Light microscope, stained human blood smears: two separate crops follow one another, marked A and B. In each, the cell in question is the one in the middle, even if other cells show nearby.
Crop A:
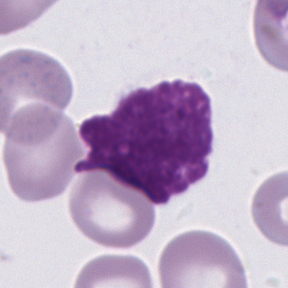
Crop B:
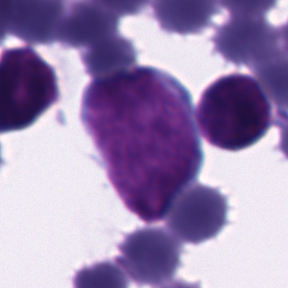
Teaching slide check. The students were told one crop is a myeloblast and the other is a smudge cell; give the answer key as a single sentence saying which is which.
Crop A is labelled a smudge cell, and crop B is labelled a myeloblast.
